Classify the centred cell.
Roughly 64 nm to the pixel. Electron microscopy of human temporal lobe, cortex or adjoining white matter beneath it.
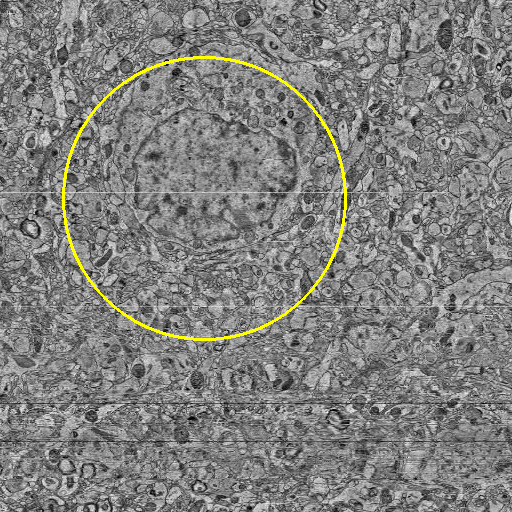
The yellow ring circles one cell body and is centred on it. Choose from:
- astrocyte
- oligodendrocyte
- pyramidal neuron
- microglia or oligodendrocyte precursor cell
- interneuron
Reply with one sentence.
The ring is centred on an interneuron.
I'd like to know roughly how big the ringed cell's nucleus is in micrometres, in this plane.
About 11 by 9 micrometers, in this plane.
